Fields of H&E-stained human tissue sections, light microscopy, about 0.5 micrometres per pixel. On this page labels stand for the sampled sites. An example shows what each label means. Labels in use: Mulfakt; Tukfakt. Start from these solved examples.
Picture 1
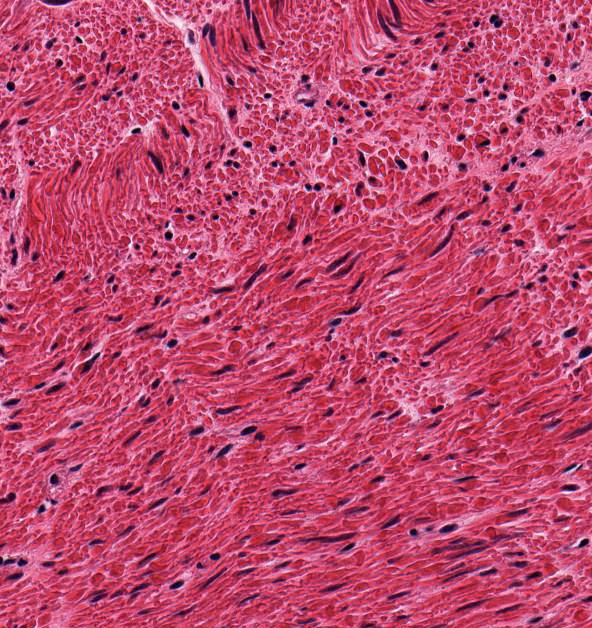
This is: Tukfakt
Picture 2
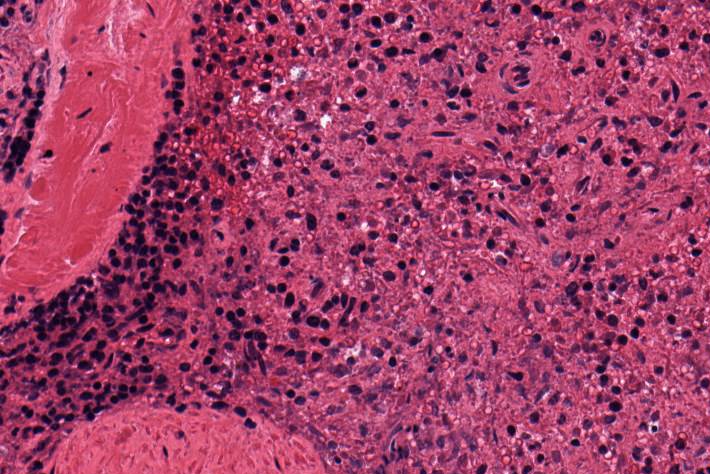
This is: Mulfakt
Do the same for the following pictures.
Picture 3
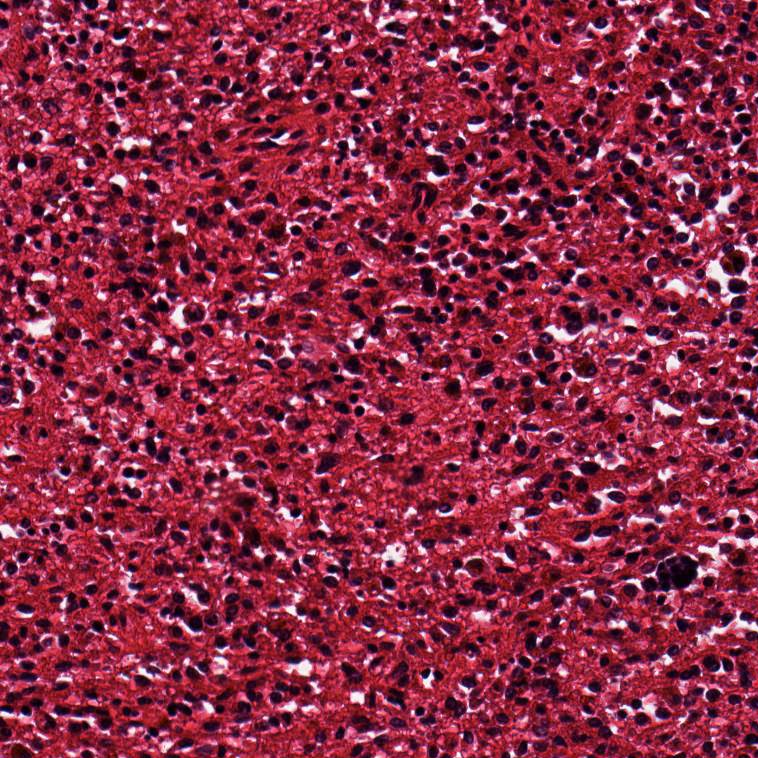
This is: Mulfakt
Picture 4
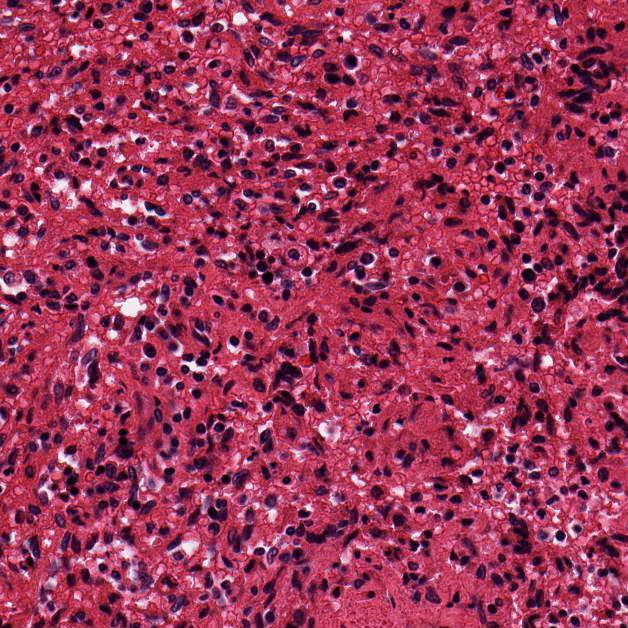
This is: Mulfakt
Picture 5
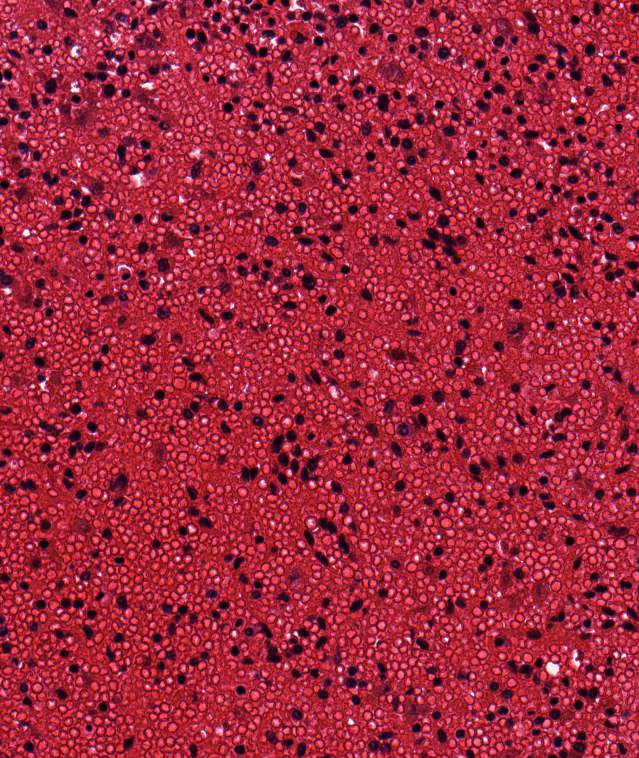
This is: Mulfakt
